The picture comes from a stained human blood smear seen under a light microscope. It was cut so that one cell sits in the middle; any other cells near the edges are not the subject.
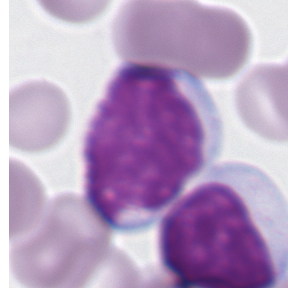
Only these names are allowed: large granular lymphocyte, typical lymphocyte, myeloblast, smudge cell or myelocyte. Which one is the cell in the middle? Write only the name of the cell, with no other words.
large granular lymphocyte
